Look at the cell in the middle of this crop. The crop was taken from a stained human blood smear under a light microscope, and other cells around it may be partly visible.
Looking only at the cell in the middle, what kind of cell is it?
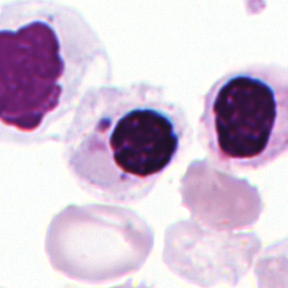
normoblast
